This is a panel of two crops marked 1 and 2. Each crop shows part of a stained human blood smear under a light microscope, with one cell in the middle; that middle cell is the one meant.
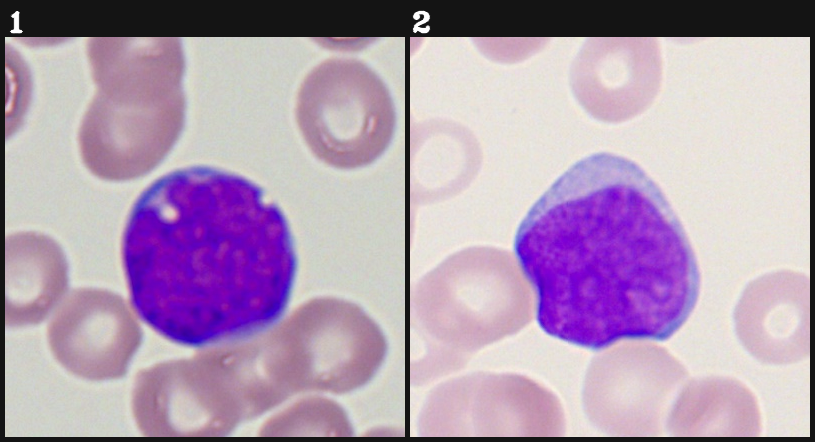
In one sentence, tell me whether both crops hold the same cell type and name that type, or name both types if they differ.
Yes, both crops show myeloblasts, to put it briefly.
